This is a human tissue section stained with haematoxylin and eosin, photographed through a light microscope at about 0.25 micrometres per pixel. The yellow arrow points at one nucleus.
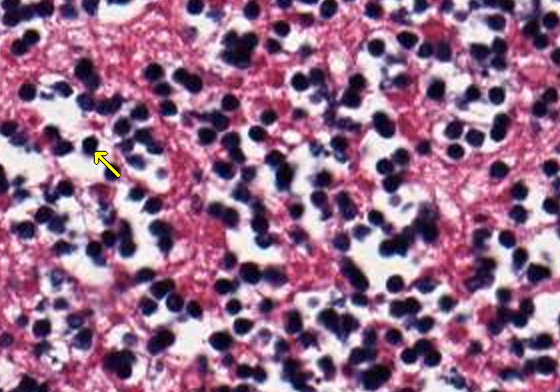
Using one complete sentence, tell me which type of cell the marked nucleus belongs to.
The marked nucleus forms part of a cerebellar granule cell.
